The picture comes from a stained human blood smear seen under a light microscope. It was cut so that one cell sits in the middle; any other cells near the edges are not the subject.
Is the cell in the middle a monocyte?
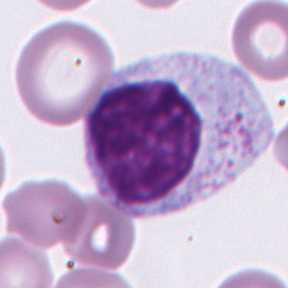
no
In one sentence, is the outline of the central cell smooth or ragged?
The cell shows a smooth outline that lacks any surface projections.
